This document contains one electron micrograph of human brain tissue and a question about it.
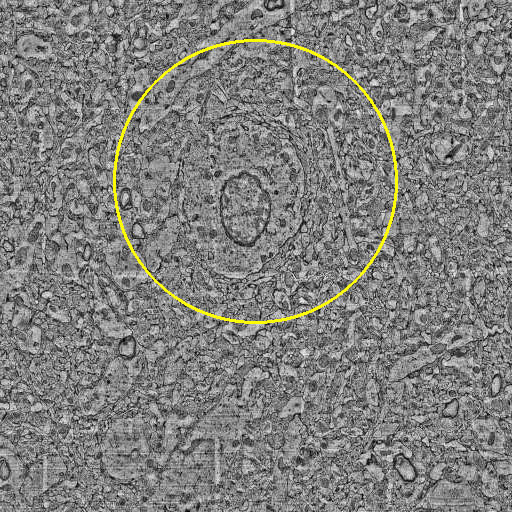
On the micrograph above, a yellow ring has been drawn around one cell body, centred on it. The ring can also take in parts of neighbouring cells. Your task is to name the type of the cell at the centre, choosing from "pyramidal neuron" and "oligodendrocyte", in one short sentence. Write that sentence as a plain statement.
Here the ring is centred on a pyramidal neuron.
